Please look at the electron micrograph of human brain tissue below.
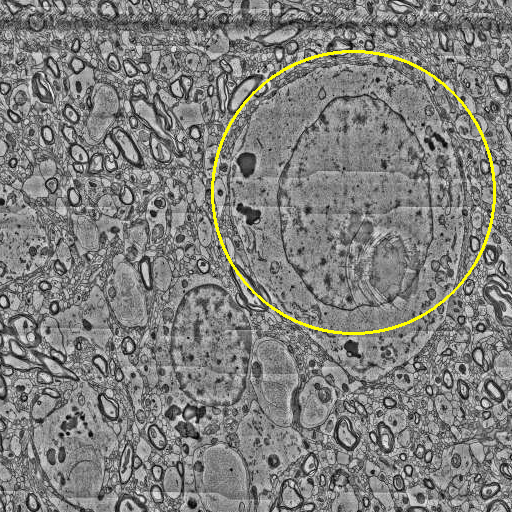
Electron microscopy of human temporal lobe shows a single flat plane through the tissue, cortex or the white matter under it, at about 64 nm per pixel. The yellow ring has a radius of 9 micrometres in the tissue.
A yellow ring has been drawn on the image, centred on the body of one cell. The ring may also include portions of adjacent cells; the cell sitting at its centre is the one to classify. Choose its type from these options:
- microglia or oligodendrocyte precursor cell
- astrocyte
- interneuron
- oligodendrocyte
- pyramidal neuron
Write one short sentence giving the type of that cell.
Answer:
The cell in the middle of the ring is a pyramidal neuron.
